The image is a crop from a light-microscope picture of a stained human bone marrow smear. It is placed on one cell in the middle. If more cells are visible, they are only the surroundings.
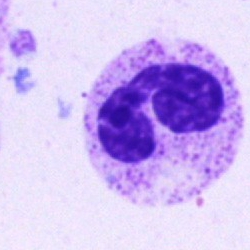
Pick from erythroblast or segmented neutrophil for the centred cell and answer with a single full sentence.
The cell nearest the centre of this crop is a segmented neutrophil.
